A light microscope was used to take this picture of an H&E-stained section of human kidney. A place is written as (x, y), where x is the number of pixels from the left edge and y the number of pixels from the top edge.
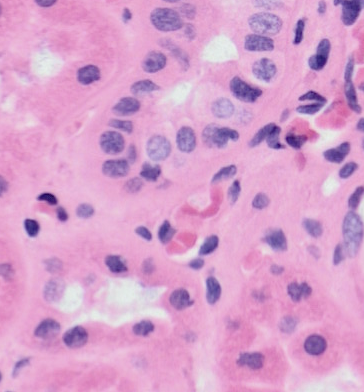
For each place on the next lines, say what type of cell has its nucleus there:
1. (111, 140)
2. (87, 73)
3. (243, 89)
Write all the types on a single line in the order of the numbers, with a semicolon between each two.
collecting duct cell; proximal tubule cell; collecting duct cell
